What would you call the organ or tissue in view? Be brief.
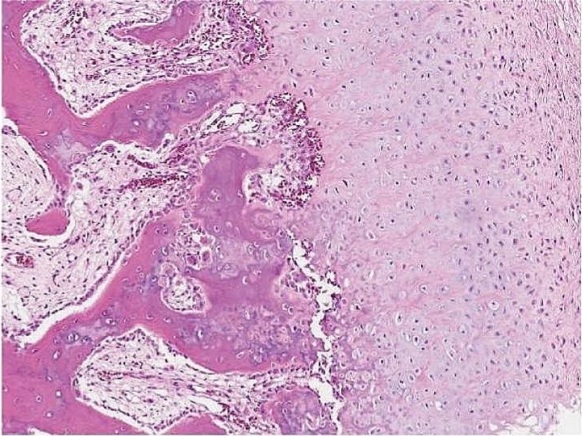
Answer: Hyaline cartilage.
